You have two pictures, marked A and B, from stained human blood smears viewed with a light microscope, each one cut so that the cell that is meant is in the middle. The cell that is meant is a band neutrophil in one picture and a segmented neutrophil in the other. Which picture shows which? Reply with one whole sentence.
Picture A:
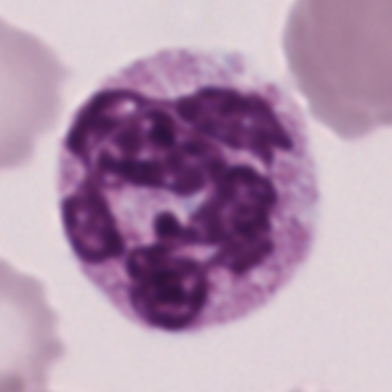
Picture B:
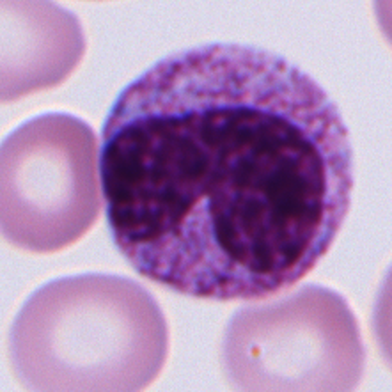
It is picture A that shows a segmented neutrophil, and picture B that shows a band neutrophil.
